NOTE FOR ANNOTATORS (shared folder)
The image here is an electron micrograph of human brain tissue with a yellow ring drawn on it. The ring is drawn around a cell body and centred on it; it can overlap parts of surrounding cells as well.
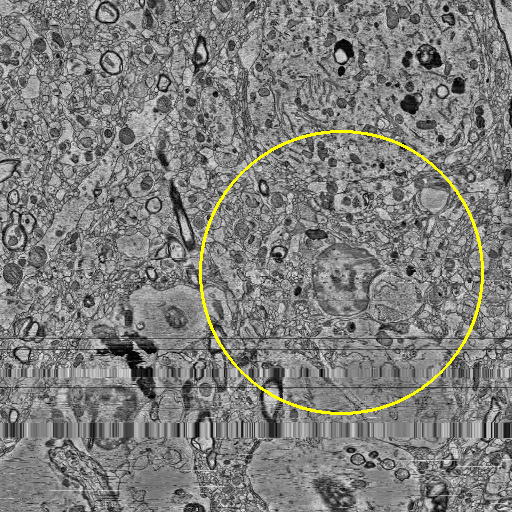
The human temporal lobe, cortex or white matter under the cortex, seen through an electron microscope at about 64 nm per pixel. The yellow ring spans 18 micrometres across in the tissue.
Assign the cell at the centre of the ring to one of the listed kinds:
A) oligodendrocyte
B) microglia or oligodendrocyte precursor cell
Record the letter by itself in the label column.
B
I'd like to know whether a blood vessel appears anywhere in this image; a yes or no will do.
Yes, there is one.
